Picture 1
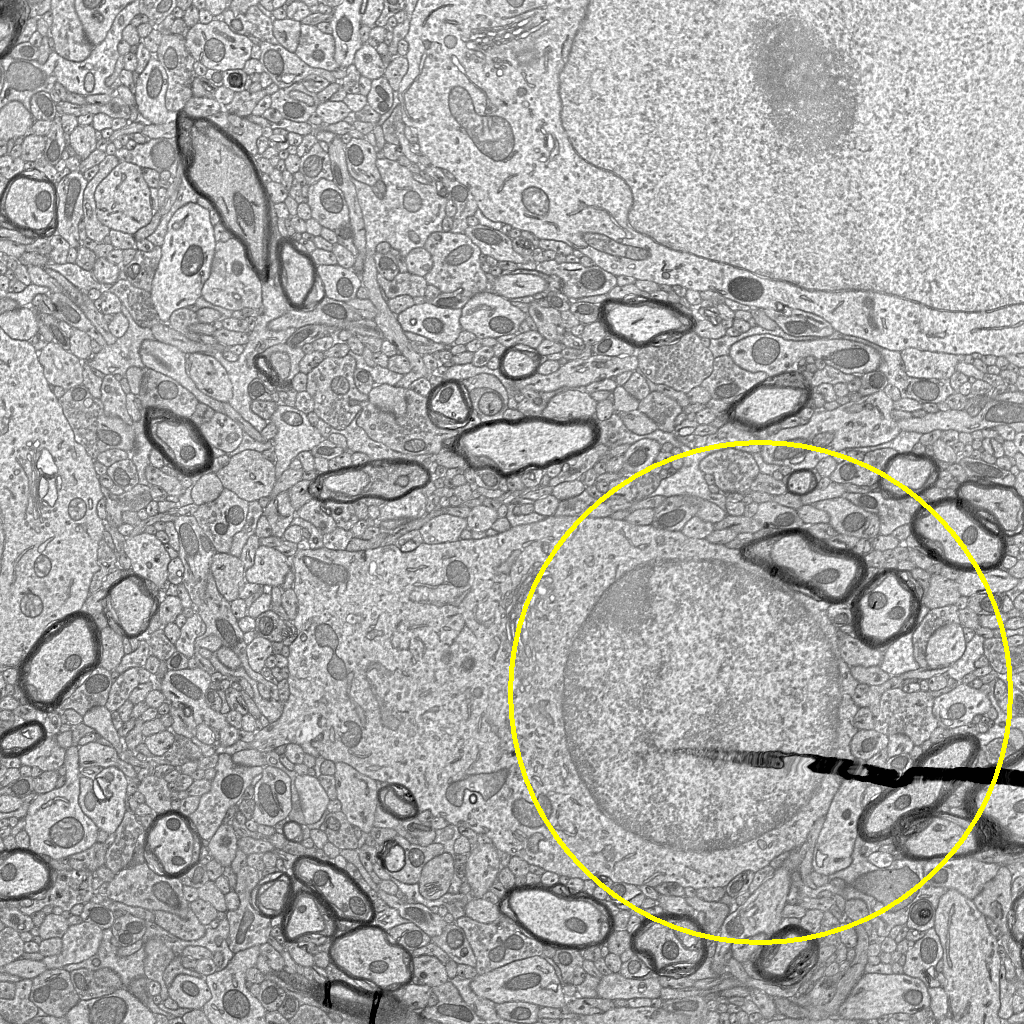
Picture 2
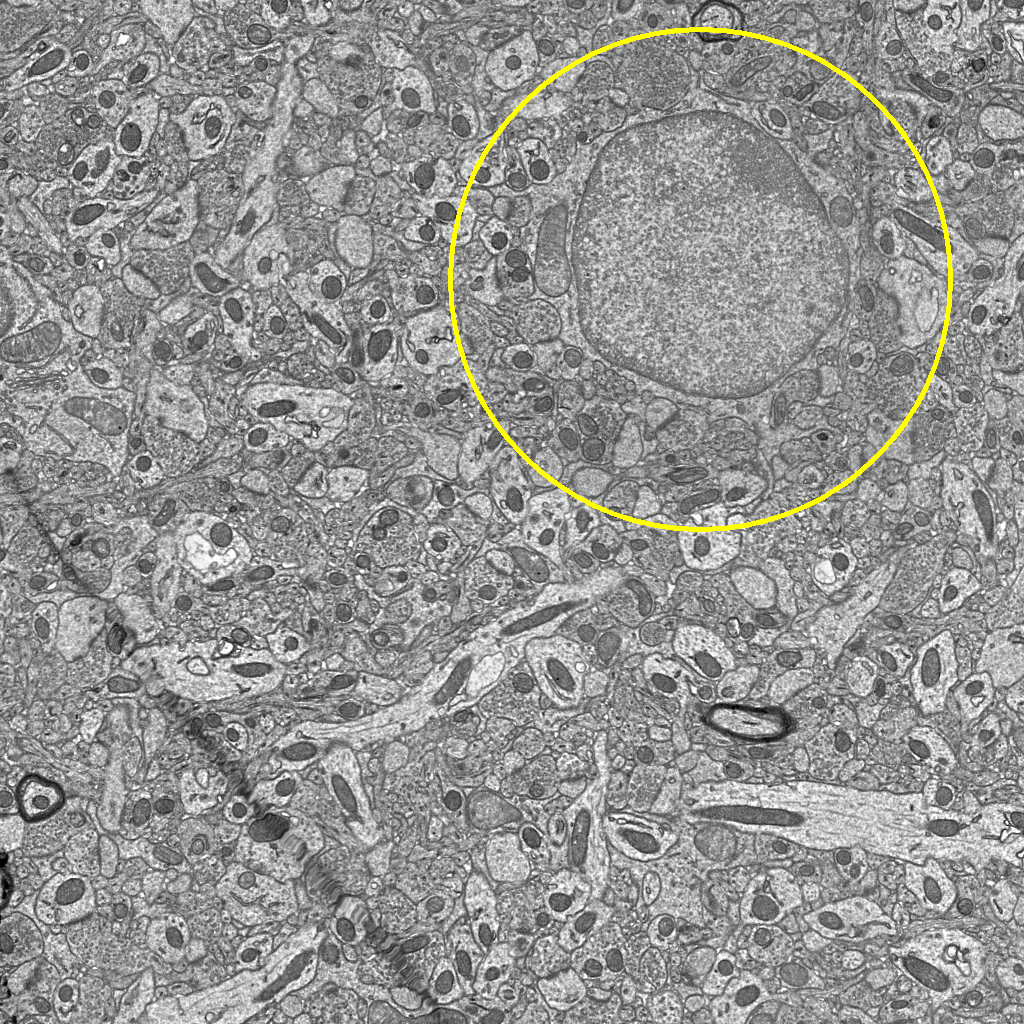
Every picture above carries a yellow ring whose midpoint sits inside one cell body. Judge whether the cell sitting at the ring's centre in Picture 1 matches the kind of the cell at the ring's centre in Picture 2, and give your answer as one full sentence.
No, the cells at the centres of the rings in Pictures 1 and 2 belong to two kinds.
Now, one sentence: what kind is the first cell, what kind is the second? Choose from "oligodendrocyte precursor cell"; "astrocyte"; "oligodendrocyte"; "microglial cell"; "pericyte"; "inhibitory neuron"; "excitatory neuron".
The second cell is an astrocyte, and the first cell is an oligodendrocyte.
